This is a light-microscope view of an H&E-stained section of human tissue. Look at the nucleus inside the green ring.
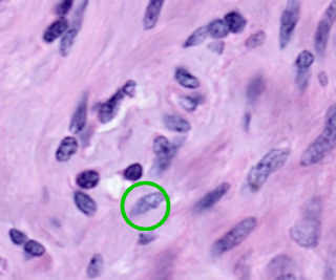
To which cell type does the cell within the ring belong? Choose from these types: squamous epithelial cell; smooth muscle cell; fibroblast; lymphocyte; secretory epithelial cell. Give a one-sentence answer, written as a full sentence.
Cell type answer for this item: the cell within the ring is a fibroblast.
